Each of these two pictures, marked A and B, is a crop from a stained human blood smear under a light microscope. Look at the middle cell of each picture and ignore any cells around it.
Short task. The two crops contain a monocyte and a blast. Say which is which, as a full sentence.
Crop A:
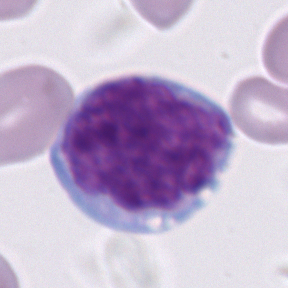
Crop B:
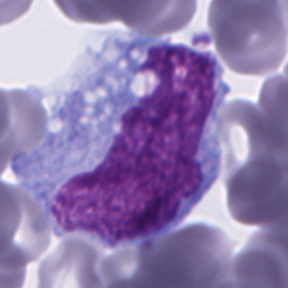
Crop A is designated a blast, and crop B is designated a monocyte.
